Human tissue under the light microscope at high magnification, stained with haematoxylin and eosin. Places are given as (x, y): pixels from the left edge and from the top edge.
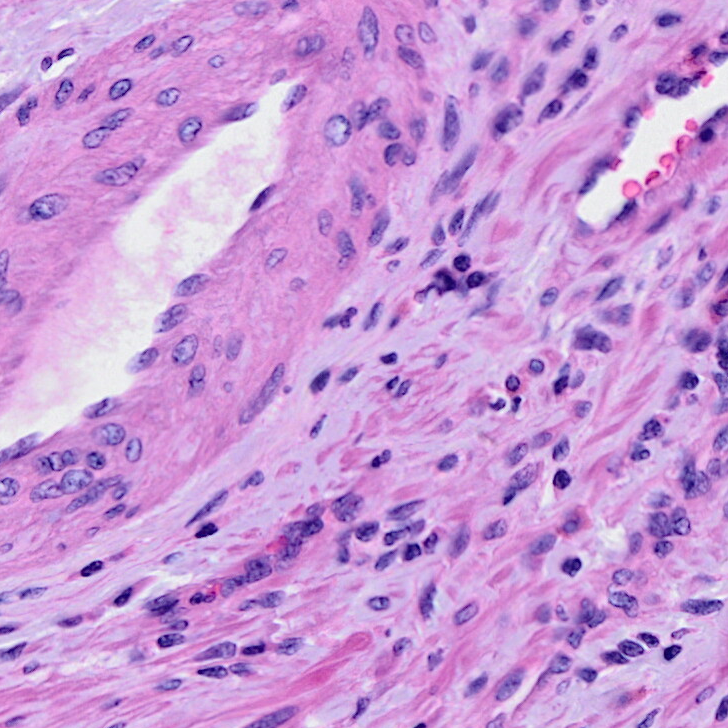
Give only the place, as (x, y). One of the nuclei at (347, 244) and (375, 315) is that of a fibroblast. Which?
(375, 315)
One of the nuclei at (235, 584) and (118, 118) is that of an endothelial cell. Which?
(235, 584)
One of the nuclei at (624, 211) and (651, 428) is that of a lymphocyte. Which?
(651, 428)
